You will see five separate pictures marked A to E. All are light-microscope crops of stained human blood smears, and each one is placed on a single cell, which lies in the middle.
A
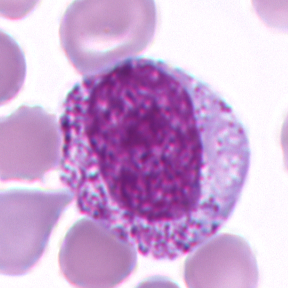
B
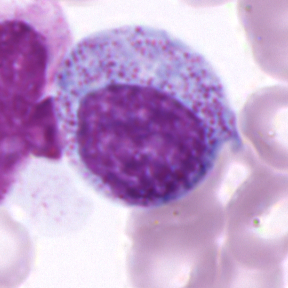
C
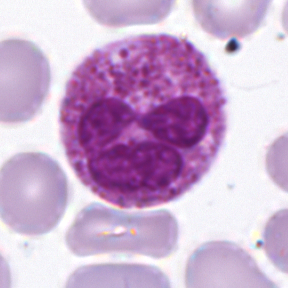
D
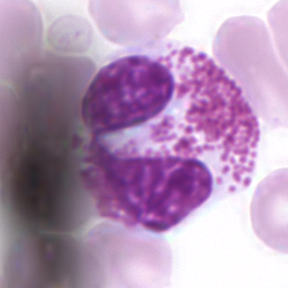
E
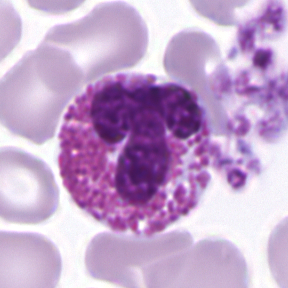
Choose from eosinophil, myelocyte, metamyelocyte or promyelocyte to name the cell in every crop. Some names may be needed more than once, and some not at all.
A: myelocyte
B: promyelocyte
C: eosinophil
D: eosinophil
E: eosinophil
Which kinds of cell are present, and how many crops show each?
eosinophil: 3
myelocyte: 1
promyelocyte: 1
